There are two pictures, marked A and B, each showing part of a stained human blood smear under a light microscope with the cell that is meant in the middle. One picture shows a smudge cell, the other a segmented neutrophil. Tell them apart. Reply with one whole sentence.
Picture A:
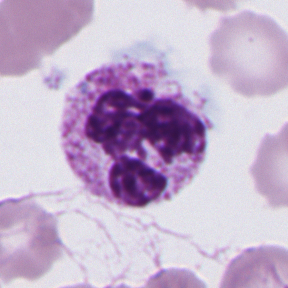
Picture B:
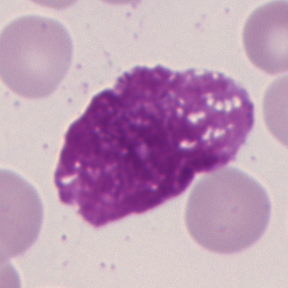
It is picture A that shows a segmented neutrophil, and picture B that shows a smudge cell.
